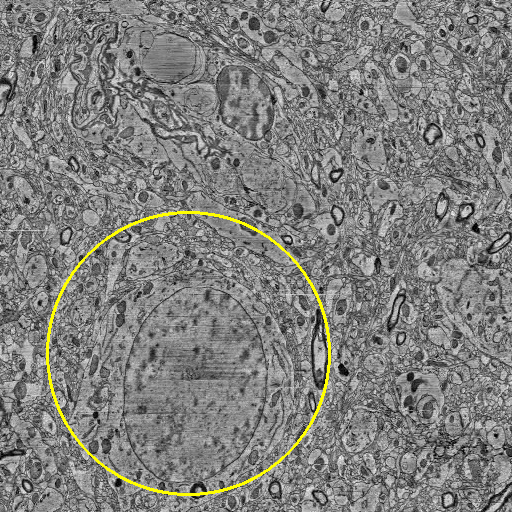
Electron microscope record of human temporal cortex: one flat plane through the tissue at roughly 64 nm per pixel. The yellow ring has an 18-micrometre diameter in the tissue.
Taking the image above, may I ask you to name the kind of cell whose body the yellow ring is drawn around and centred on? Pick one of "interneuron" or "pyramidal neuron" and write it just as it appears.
pyramidal neuron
